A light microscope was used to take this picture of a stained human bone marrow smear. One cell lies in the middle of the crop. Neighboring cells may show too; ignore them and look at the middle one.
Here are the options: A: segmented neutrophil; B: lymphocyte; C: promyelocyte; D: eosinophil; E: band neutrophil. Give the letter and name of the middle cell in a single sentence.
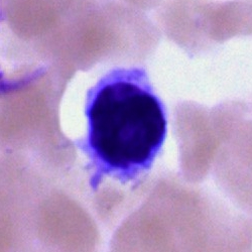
What option B states is correct, the central cell being a lymphocyte.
